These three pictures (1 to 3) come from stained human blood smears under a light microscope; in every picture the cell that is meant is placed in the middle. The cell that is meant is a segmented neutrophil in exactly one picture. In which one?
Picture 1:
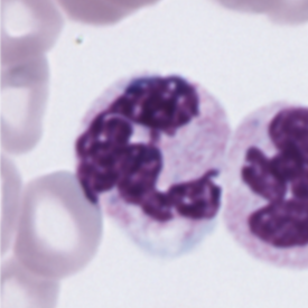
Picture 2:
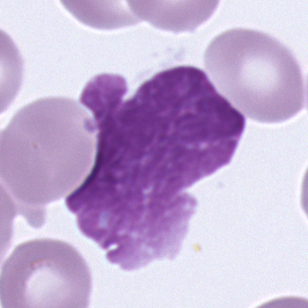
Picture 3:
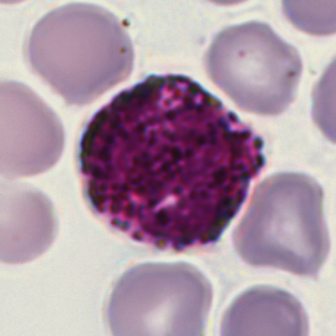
1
